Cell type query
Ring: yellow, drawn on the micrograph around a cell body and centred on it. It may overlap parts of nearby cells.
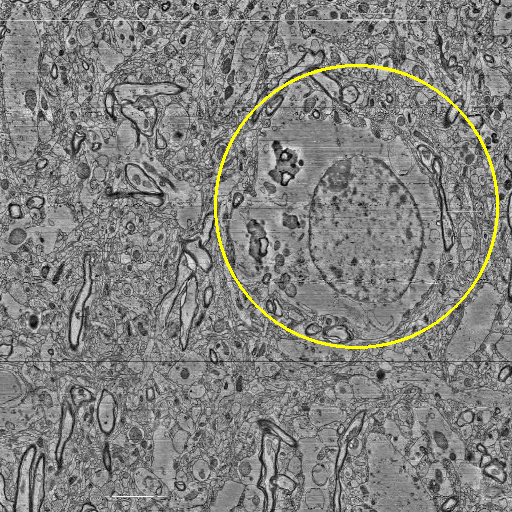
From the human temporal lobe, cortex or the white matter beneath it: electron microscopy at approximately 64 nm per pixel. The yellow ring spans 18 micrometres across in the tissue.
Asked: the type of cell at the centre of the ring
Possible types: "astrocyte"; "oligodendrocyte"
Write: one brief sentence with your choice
The ring marks an astrocyte.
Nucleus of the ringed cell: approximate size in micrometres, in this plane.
In this plane, the nucleus of the cell at the centre of the ring measures about 10 by 7 micrometres.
